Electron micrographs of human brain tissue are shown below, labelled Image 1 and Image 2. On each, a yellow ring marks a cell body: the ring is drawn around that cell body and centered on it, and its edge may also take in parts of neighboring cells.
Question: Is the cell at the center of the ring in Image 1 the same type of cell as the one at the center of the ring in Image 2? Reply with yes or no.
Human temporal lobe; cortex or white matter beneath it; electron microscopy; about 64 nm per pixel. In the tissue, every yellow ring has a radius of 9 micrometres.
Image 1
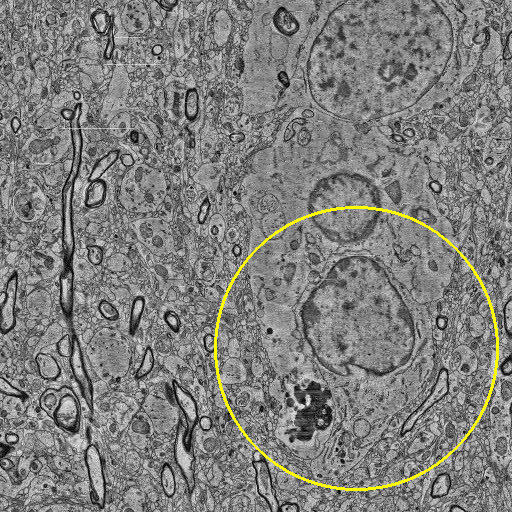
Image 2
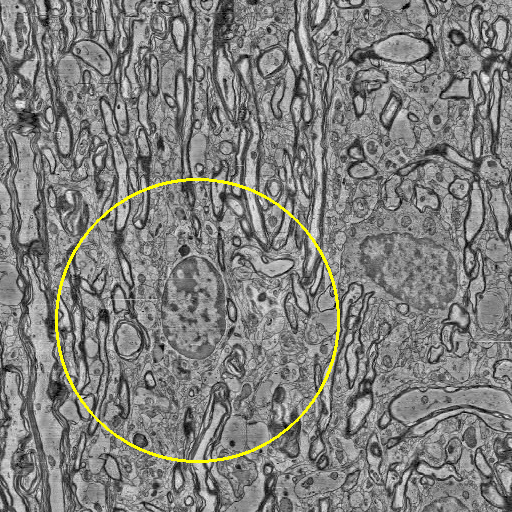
yes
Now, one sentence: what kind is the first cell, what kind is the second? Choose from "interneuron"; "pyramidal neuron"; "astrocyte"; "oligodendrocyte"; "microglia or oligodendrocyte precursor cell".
Each of the ringed cells, first and second, is a microglial cell or oligodendrocyte precursor cell.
